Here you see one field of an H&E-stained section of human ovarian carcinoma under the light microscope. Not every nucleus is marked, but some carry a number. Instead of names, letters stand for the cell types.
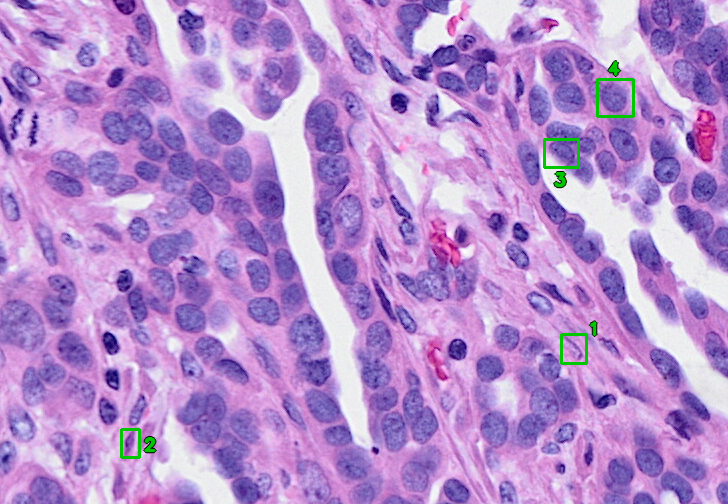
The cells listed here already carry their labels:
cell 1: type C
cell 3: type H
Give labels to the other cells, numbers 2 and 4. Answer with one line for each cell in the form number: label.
2: type C
4: type H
